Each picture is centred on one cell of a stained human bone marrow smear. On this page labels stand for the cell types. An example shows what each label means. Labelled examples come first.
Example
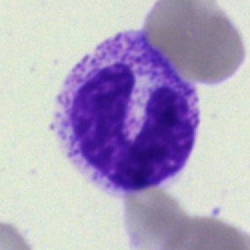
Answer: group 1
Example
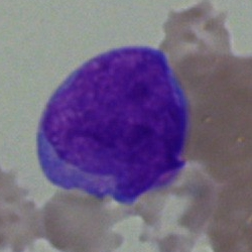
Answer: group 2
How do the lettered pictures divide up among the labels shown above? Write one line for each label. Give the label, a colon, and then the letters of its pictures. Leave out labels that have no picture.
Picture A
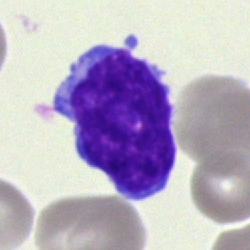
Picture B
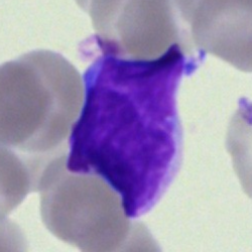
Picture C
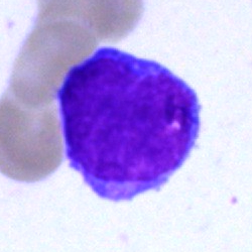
group 2: A, B, C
